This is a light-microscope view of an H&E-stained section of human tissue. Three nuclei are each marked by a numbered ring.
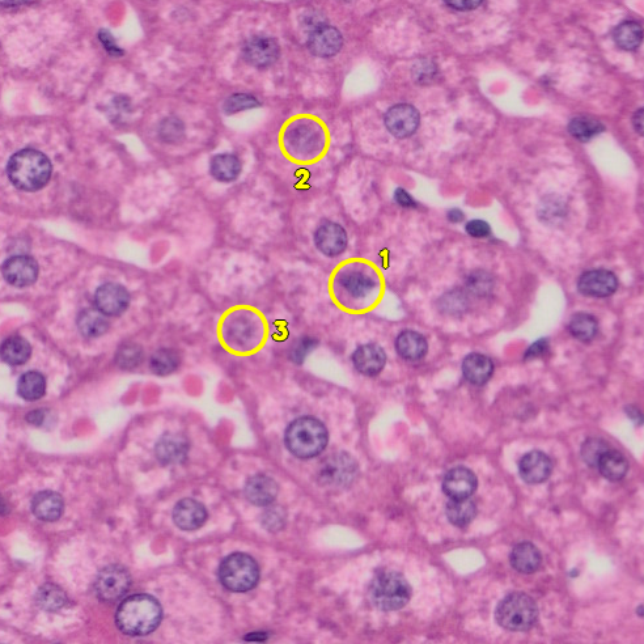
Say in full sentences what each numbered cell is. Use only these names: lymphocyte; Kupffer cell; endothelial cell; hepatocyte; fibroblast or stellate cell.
Cell 1 is an endothelial cell. Cells 2 and 3 are hepatocytes.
